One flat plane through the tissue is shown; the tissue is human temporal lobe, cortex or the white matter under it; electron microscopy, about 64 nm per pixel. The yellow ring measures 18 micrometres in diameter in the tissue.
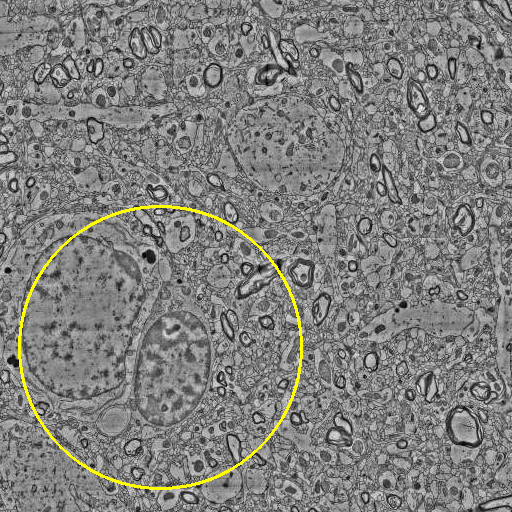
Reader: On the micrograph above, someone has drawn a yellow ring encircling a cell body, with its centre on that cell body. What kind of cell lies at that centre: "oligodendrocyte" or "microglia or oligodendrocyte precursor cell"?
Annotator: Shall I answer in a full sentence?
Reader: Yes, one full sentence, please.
Here an oligodendrocyte sits at the centre of the yellow ring drawn on the micrograph.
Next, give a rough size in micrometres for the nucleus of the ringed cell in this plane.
The nucleus of the ringed cell is clearly longer than it is wide in this plane, about 7 by 5 micrometres.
